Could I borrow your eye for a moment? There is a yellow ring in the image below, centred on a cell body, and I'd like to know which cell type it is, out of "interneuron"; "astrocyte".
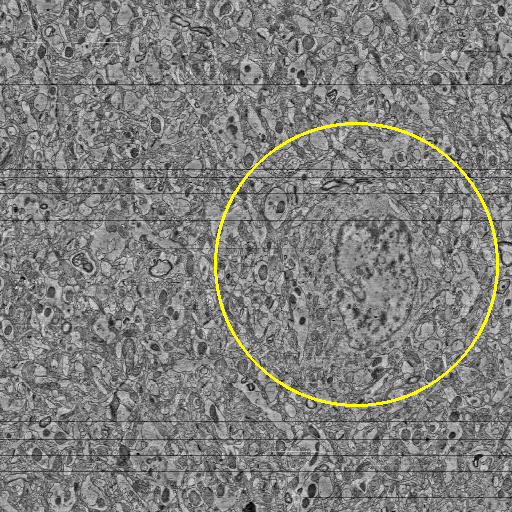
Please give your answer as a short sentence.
The cell body at the centre is that of an interneuron.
